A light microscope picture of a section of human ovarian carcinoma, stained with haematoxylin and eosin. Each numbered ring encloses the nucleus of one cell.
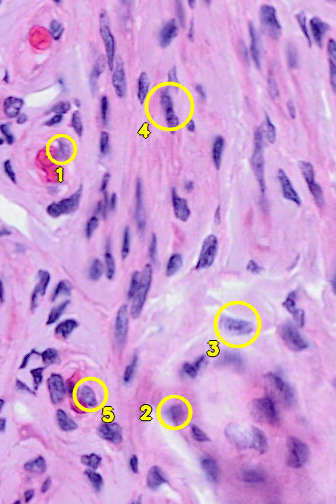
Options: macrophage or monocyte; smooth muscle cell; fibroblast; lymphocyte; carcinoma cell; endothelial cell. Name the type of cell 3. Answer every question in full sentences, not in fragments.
Regarding cell 3, this one is a fibroblast.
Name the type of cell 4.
The cell referred to as 4 is a smooth muscle cell.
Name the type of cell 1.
The cell carrying label 1 is identified as an endothelial cell.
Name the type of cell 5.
The cell numbered 5 represents an endothelial cell.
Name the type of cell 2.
The numbered cell 2 in this field is a smooth muscle cell.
